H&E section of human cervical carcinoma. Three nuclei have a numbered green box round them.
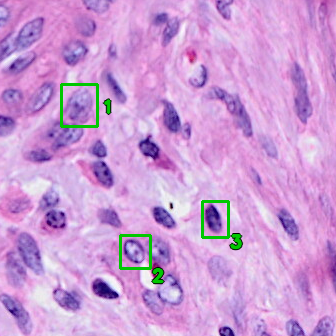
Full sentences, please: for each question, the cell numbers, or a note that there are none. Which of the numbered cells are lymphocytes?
Cell 3 is a lymphocyte, and that holds for no other numbered cell.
